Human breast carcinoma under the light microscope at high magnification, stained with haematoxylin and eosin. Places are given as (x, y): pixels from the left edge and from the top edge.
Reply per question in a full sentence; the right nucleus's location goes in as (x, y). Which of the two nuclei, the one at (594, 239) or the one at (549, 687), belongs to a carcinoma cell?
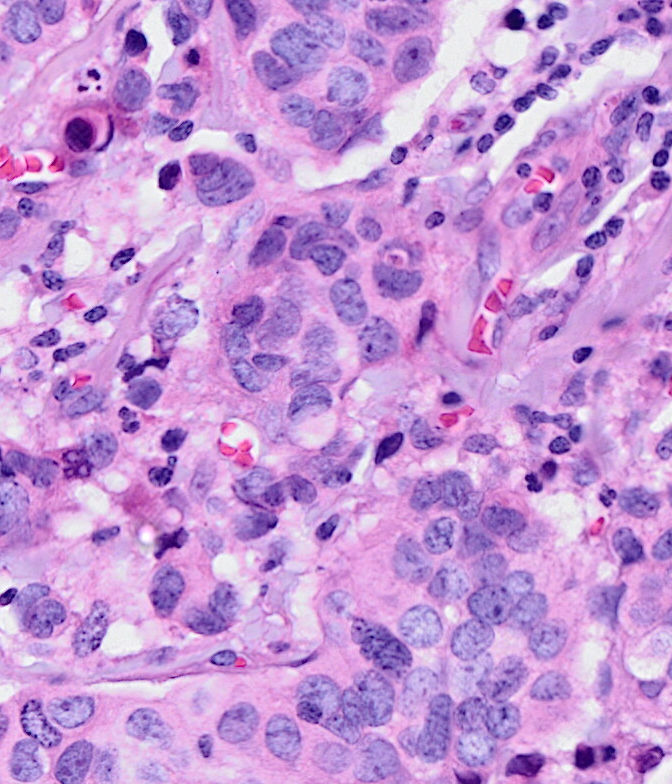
The nucleus belonging to a carcinoma cell is the one at (549, 687).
